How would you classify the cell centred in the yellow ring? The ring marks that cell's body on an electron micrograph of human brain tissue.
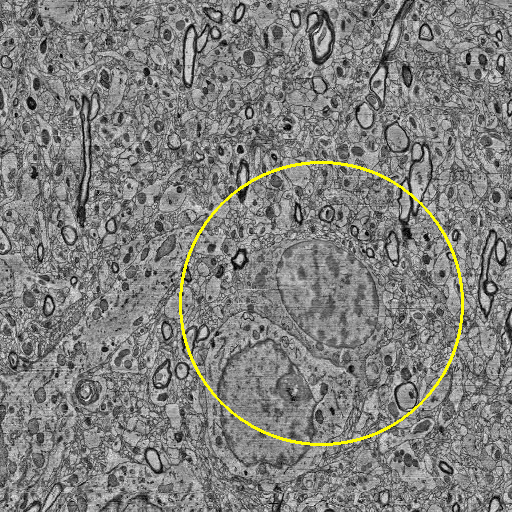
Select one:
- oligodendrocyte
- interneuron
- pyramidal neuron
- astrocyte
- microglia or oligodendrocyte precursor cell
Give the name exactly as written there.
oligodendrocyte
